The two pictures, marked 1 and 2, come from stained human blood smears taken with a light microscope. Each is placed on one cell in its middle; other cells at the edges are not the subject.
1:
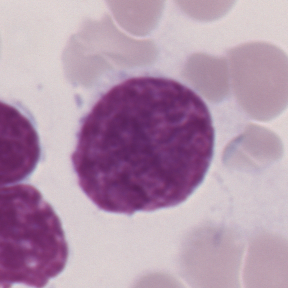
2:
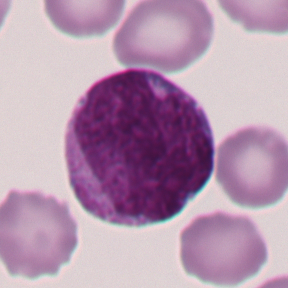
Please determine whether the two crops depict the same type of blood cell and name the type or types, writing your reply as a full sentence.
Yes, myeloblasts are the central cells in the two crops.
